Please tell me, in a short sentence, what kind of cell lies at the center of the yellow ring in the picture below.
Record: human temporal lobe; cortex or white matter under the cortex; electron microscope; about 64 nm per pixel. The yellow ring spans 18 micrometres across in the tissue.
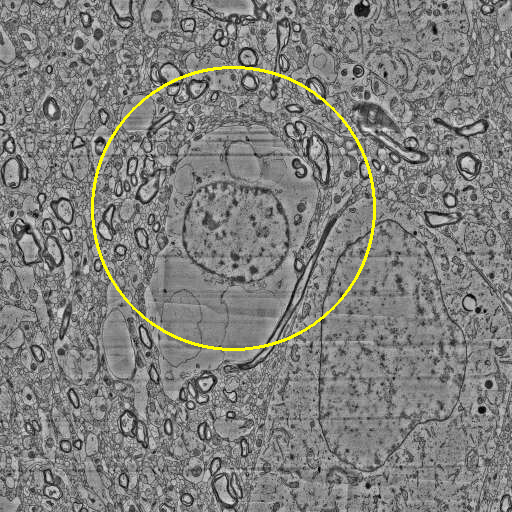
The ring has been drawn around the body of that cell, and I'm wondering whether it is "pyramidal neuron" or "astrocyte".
The cell at the center of the ring is an astrocyte.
